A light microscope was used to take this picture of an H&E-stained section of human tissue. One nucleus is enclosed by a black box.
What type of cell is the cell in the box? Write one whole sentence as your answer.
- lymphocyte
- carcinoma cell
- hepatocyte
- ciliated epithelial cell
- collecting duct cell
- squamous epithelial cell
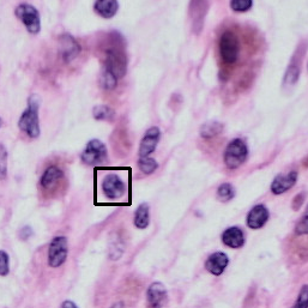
The cell in the box appears to be a lymphocyte.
